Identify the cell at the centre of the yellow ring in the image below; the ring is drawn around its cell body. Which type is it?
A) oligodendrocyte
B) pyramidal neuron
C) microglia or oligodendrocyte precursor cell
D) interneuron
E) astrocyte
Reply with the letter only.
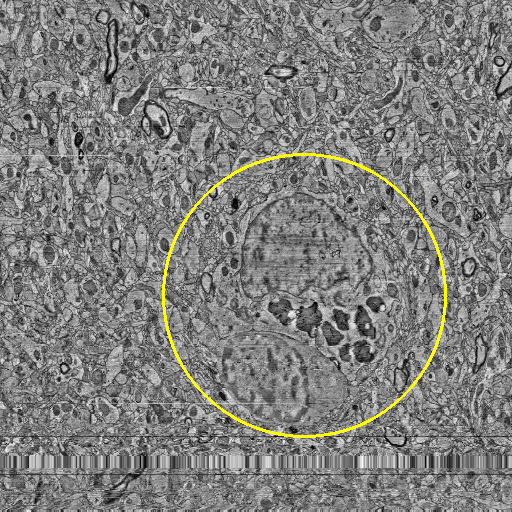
D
